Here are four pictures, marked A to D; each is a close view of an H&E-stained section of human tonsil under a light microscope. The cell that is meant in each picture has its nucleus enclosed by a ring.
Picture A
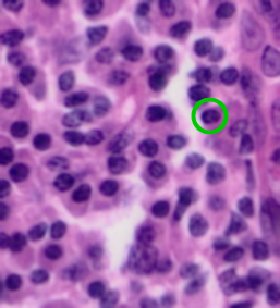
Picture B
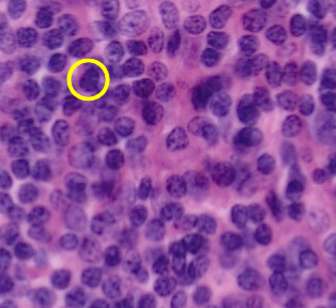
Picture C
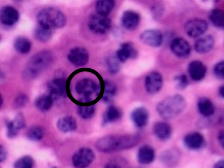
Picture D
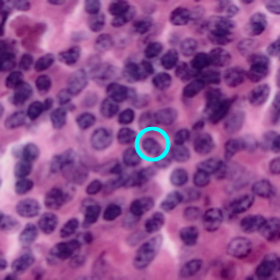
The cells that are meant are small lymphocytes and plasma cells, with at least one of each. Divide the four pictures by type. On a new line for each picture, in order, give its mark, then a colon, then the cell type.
A: plasma cell
B: small lymphocyte
C: plasma cell
D: small lymphocyte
